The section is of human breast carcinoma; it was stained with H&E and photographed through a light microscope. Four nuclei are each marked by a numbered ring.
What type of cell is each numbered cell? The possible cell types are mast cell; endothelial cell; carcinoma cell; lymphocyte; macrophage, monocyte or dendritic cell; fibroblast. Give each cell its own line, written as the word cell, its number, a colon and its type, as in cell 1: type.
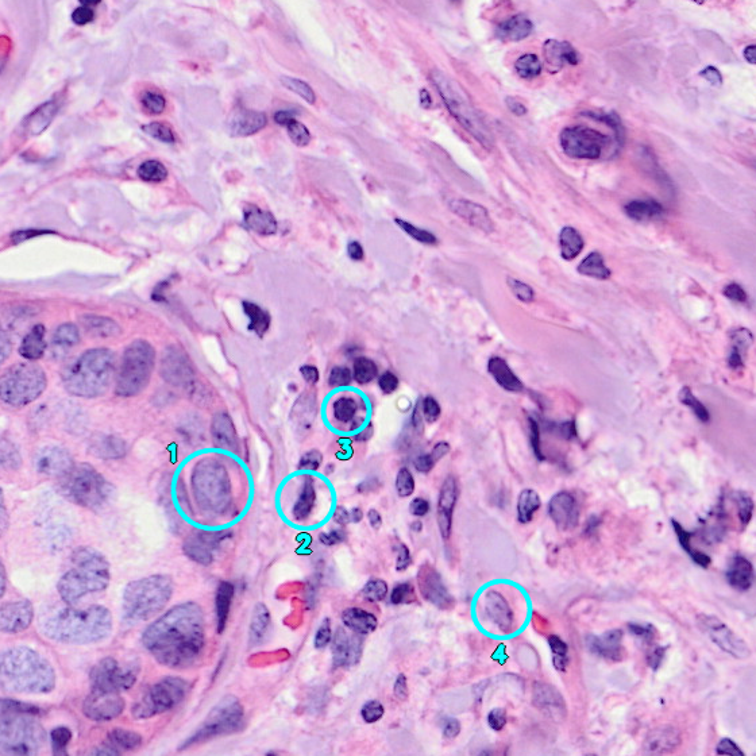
cell 1: carcinoma cell
cell 2: lymphocyte
cell 3: lymphocyte
cell 4: endothelial cell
